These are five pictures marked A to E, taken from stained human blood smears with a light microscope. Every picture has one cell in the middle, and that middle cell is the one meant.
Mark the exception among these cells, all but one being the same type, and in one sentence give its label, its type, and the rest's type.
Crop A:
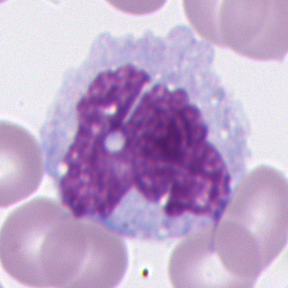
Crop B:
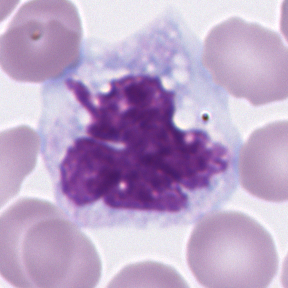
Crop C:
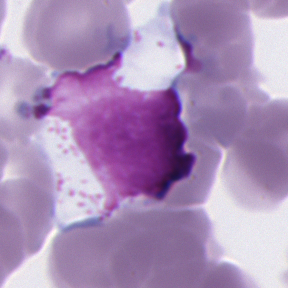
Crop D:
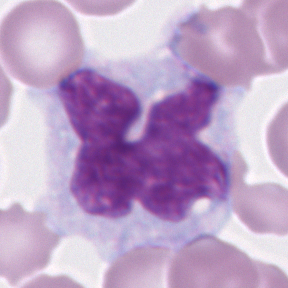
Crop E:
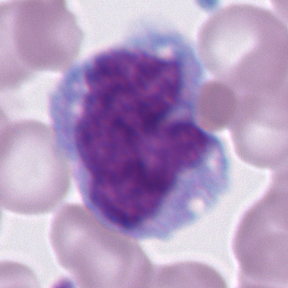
Crop C is the outlier, with a large granular lymphocyte against monocytes in the rest.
